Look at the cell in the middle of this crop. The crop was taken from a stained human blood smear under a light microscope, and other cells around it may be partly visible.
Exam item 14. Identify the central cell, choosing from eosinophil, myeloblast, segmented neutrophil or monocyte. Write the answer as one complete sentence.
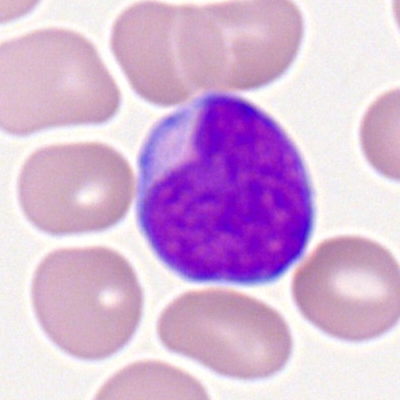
The cell at the heart of this crop is a myeloblast.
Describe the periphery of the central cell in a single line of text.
Its periphery is smooth, and no projections arise from it.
